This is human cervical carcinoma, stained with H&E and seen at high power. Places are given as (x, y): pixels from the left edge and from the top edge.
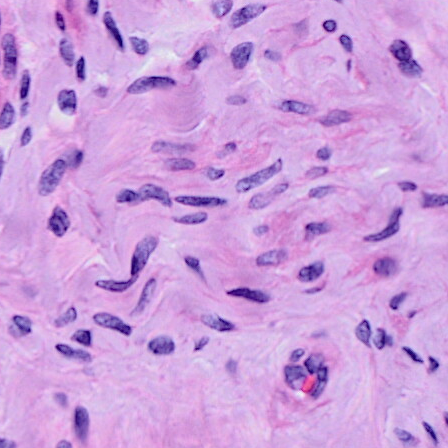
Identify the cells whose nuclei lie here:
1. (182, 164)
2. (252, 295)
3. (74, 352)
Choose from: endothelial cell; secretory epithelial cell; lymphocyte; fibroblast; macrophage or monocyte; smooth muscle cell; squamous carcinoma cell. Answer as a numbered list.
1. smooth muscle cell
2. fibroblast
3. fibroblast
